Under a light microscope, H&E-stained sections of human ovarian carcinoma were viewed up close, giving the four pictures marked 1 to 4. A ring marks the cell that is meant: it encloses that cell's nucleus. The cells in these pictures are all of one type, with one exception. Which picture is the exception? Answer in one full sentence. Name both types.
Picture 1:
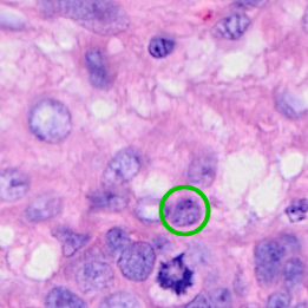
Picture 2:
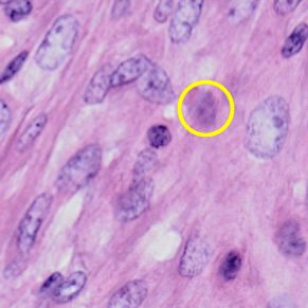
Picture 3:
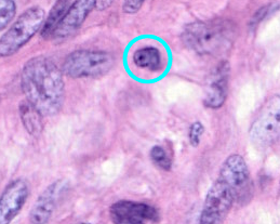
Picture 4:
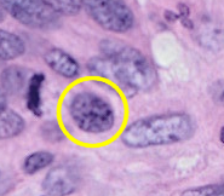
The different one is picture 2; it shows a fibroblast, whereas all the others show “macrophages or monocytes”.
